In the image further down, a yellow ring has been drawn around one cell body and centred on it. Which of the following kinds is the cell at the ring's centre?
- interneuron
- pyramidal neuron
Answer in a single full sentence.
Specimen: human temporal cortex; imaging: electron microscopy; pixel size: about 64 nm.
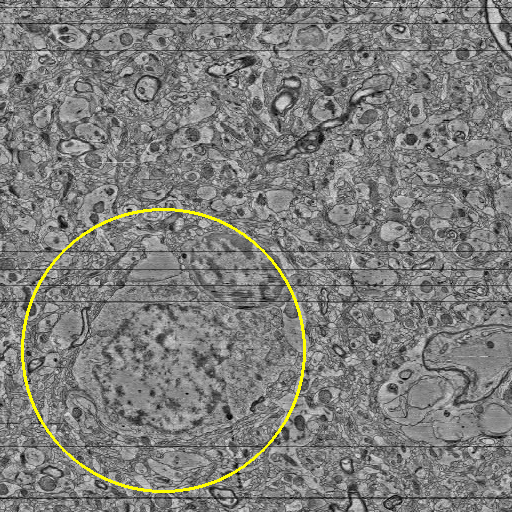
In the picture, the cell sitting at the centre of the yellow ring is an interneuron.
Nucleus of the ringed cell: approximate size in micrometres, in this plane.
In this plane, the nucleus of the cell at the centre of the ring is about 9 micrometres across.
